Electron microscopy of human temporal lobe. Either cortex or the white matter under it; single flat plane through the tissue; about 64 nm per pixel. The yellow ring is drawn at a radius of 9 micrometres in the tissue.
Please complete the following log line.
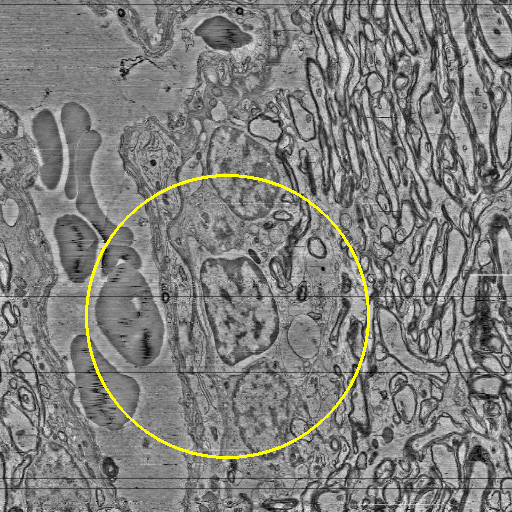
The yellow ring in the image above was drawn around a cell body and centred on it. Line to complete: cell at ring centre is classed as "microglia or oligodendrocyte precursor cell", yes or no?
yes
